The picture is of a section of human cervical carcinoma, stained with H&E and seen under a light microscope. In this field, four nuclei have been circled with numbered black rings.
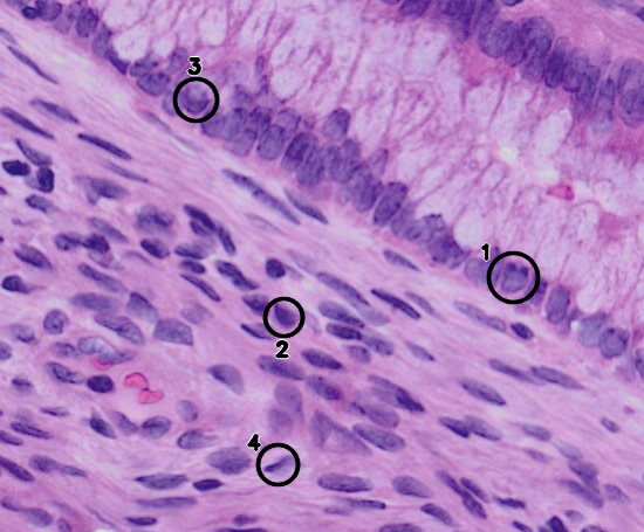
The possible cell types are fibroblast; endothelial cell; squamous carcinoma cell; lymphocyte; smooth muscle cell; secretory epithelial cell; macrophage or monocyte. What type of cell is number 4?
fibroblast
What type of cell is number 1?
secretory epithelial cell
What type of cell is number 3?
secretory epithelial cell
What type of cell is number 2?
fibroblast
